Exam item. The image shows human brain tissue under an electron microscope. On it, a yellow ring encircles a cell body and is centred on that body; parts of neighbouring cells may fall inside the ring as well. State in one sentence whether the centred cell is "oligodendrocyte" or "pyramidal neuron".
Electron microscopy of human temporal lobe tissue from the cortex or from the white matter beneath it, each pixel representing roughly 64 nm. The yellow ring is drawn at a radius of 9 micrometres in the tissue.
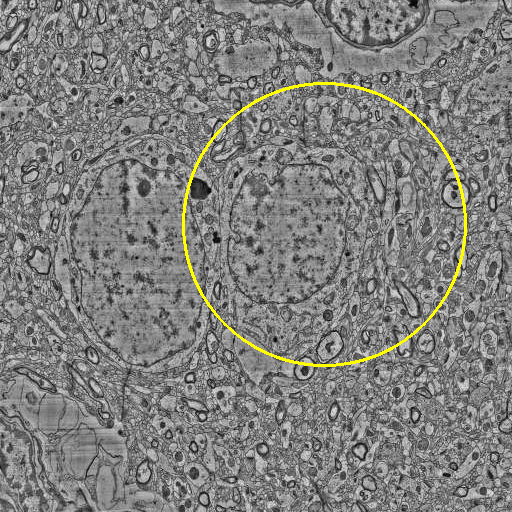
The cell body centred in the ring is a pyramidal neuron.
